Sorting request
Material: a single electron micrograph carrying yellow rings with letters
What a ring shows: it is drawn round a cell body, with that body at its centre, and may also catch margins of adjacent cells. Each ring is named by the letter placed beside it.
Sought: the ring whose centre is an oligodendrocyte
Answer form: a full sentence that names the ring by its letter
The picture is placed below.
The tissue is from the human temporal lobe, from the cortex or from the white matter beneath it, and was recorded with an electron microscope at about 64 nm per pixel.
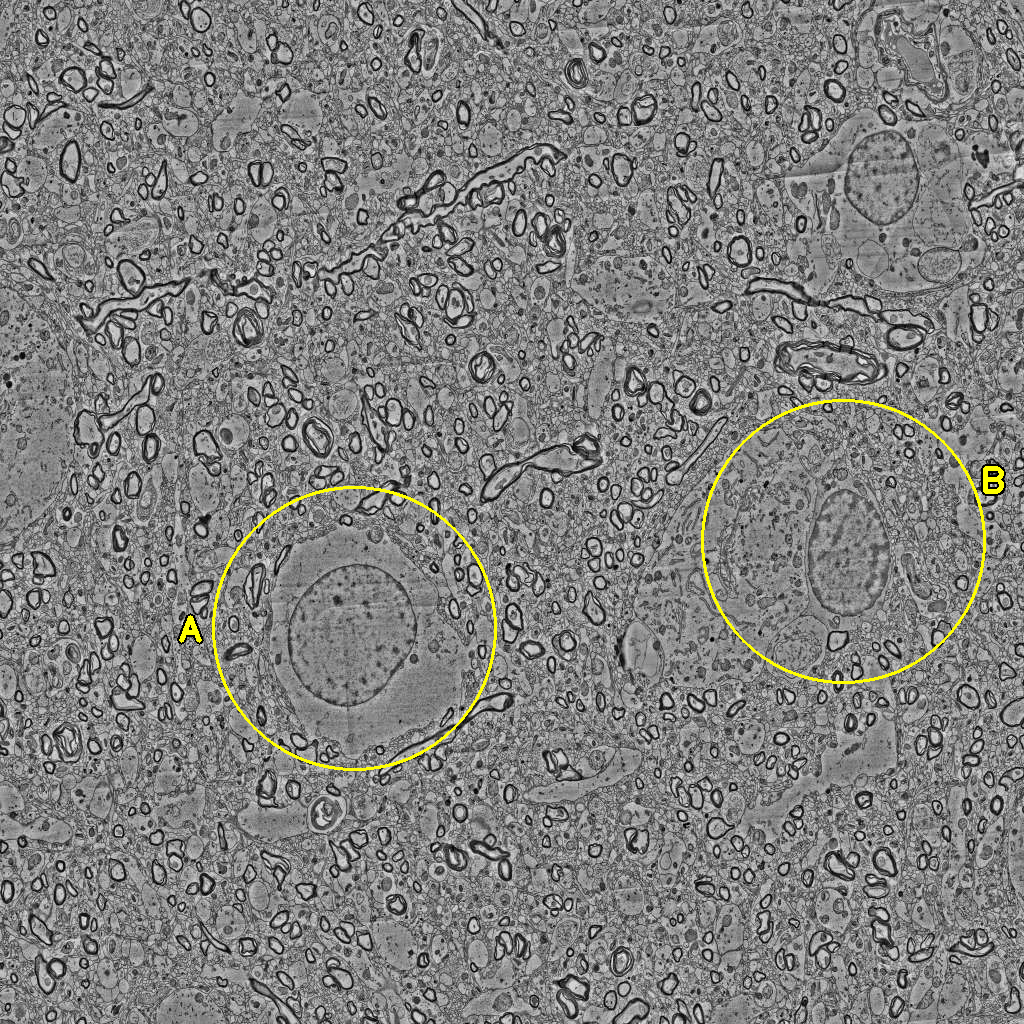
The ring centred on the cell asked for carries the letter B.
